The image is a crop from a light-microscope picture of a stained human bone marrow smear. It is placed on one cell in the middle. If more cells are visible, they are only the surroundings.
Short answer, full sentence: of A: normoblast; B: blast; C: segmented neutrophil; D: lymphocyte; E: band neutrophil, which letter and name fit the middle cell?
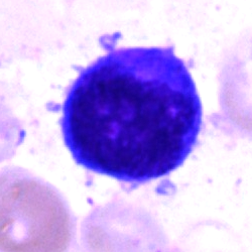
Option B gives the correct identity of the central cell, namely a blast.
